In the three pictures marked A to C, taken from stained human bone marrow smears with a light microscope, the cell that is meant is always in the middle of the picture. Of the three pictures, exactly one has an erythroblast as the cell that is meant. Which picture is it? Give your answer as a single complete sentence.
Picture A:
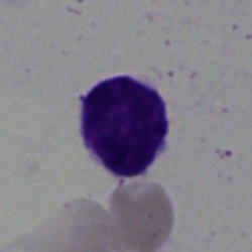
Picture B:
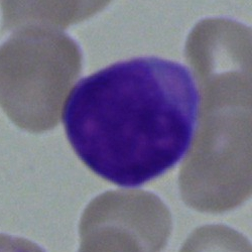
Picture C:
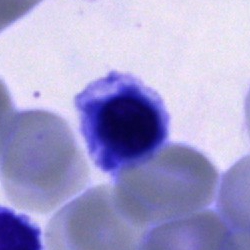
The cell in picture C is the erythroblast.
